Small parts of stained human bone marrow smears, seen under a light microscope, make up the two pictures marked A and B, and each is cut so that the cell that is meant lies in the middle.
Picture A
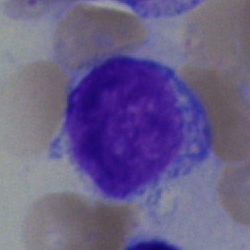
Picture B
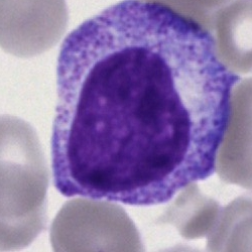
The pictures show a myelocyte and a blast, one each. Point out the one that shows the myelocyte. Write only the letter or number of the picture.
B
